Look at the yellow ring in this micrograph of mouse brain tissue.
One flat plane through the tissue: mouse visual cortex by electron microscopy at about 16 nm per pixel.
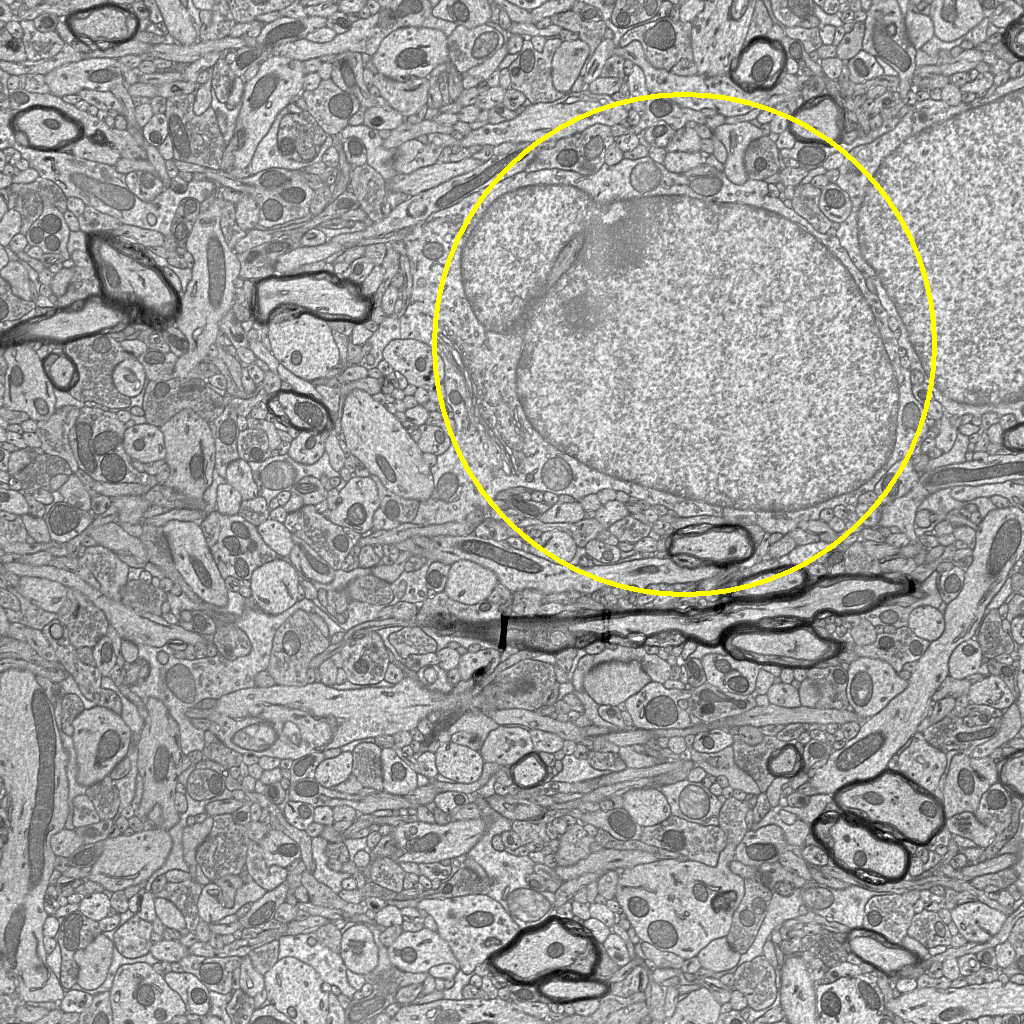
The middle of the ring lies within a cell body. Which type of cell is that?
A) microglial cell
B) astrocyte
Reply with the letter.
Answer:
B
